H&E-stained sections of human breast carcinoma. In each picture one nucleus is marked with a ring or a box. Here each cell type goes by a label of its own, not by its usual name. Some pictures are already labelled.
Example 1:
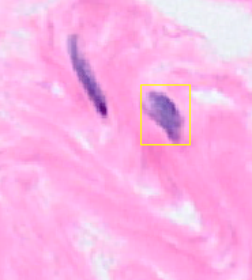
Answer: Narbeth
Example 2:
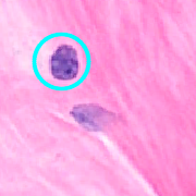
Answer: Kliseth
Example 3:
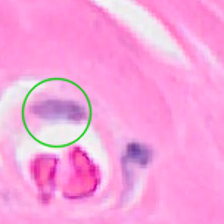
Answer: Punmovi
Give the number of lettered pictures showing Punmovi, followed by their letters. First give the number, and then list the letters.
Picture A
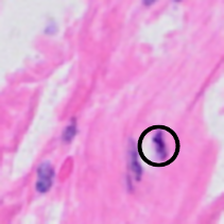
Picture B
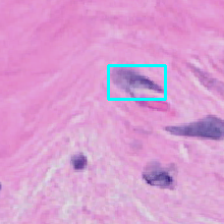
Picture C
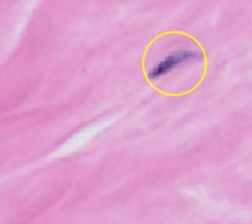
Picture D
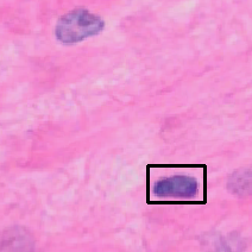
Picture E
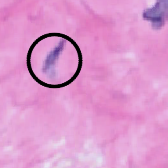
2, namely A, B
